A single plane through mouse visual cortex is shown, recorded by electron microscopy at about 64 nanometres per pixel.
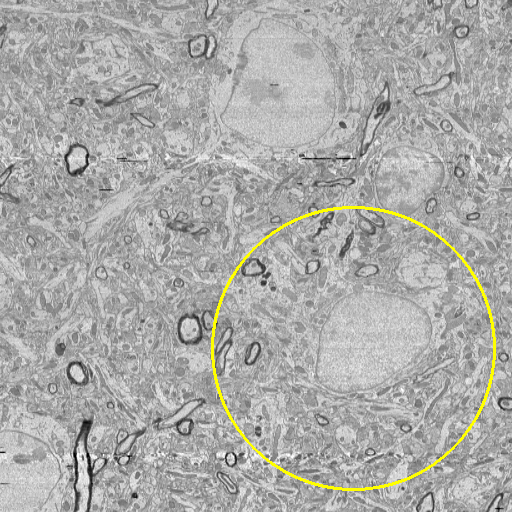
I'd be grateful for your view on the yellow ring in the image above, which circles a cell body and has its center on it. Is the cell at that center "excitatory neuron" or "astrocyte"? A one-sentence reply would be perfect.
The cell at the center of the yellow ring is an astrocyte.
